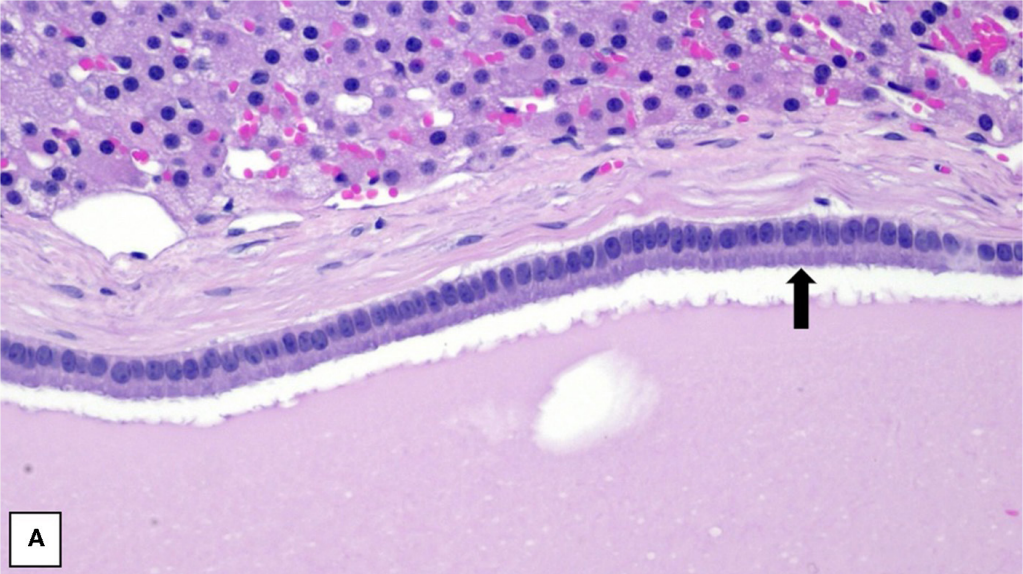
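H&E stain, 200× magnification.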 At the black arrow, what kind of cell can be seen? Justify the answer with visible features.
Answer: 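A single row of tall cells with evenly spaced, basally placed oval nuclei lines a cavity. The cavity holds pale pink homogeneous material. Beneath the row lies a thin band of wavy pink fibrous tissue. On this evidence: uniform columnar epithelial cells.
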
